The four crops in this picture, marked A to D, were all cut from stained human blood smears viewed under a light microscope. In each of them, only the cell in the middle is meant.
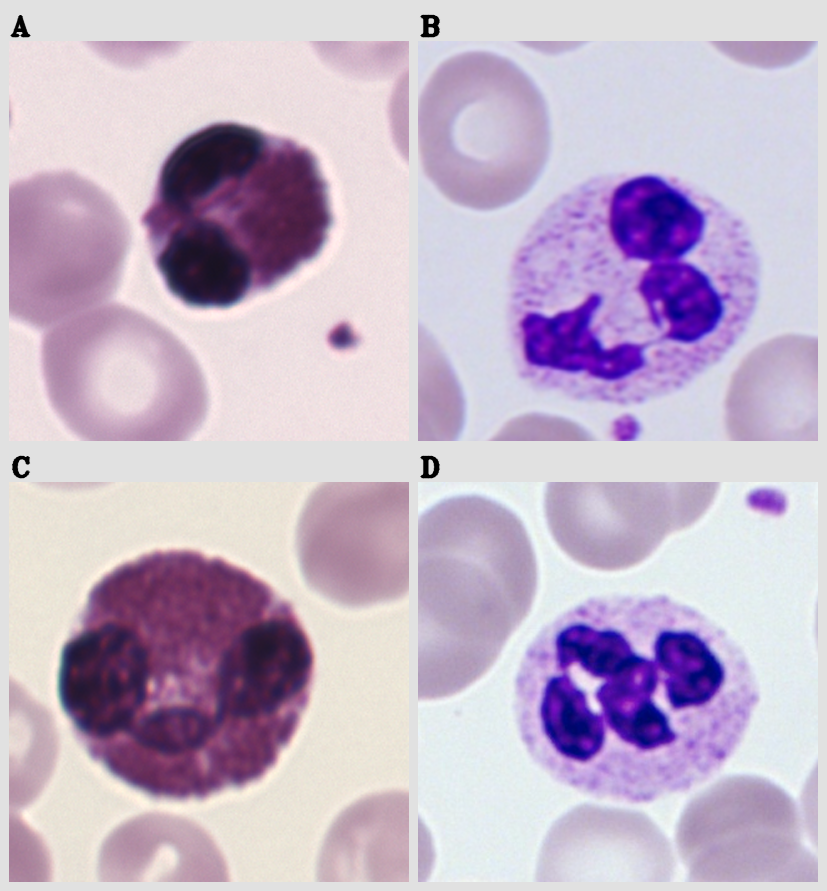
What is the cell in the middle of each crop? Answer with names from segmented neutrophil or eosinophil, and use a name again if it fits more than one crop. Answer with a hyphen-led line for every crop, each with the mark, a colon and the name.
- A: eosinophil
- B: segmented neutrophil
- C: eosinophil
- D: segmented neutrophil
